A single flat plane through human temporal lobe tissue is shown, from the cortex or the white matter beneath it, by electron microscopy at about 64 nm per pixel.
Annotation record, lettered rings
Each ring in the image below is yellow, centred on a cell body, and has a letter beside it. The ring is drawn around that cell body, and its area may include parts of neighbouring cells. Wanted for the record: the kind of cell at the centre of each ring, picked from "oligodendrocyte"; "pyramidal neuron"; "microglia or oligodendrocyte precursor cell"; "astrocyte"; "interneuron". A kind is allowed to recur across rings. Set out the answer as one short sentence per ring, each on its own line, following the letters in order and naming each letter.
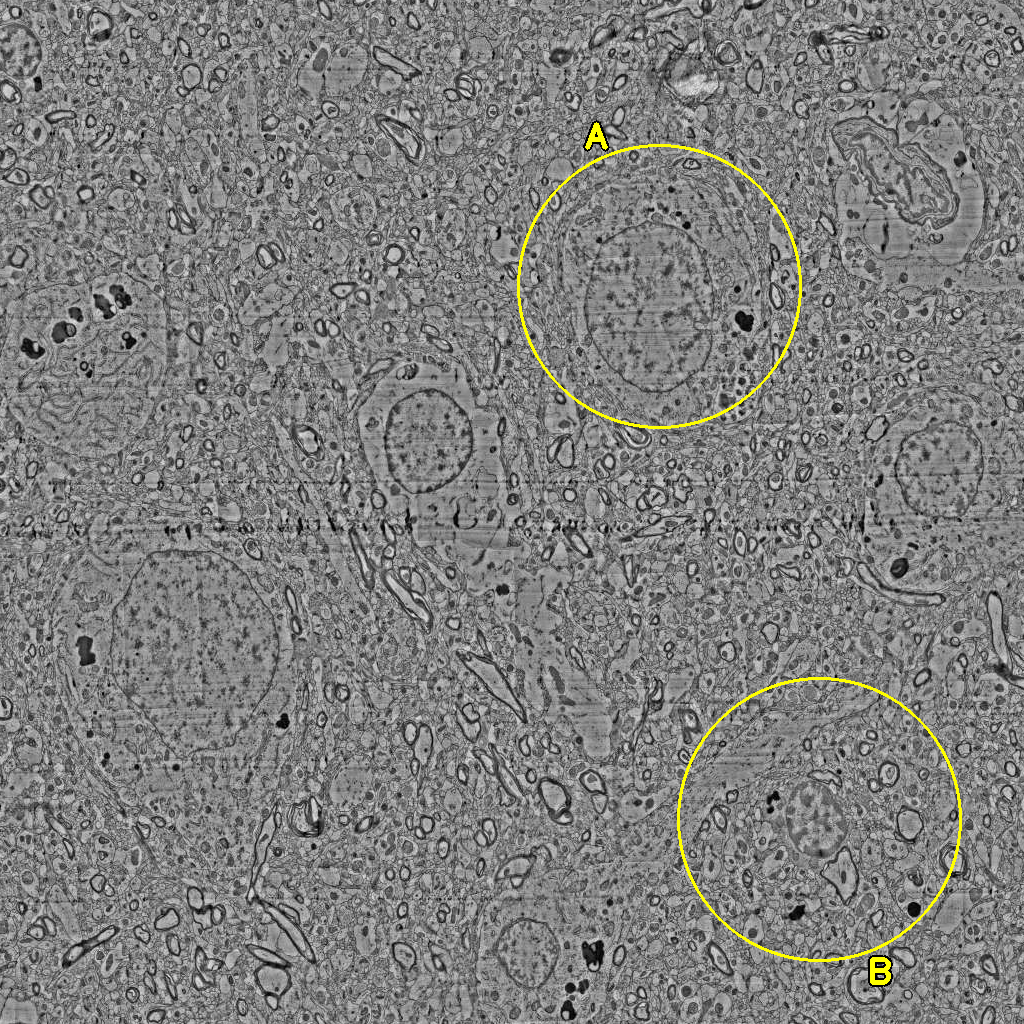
Ring A was drawn on a pyramidal neuron.
Ring B was drawn on an oligodendrocyte.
